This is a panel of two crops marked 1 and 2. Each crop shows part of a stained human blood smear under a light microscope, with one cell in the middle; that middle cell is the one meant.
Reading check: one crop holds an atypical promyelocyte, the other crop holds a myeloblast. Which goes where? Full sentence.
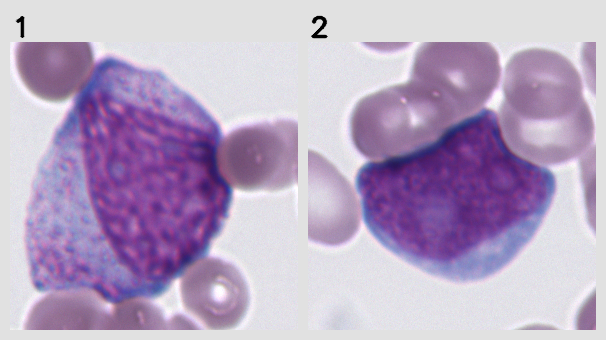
Crop 1 here is an atypical promyelocyte, and crop 2 is a myeloblast.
